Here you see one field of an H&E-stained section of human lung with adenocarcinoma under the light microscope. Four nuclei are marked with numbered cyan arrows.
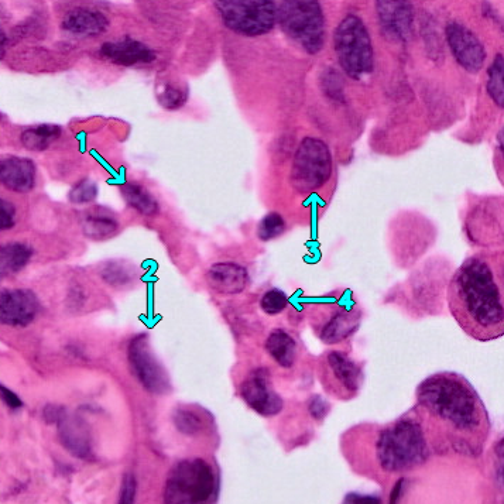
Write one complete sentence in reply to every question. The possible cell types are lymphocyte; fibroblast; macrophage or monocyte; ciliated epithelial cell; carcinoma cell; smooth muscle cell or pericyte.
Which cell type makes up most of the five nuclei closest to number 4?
The majority of the five nuclei closest to number 4 belong to macrophages or monocytes.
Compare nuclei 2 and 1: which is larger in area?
Number 2 is larger; its area is about 2 times that of number 1.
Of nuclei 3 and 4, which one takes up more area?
Nucleus 3 is larger, with an area about 3 times that of nucleus 4.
